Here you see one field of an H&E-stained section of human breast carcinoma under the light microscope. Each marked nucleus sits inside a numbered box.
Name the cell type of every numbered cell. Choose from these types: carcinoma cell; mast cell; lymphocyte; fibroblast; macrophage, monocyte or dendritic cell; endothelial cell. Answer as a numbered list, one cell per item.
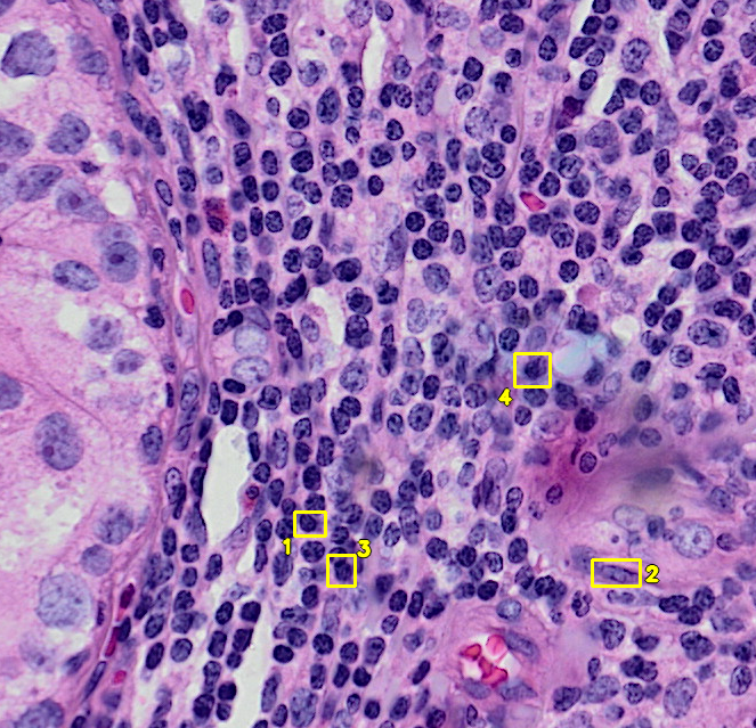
1. lymphocyte
2. endothelial cell
3. lymphocyte
4. lymphocyte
